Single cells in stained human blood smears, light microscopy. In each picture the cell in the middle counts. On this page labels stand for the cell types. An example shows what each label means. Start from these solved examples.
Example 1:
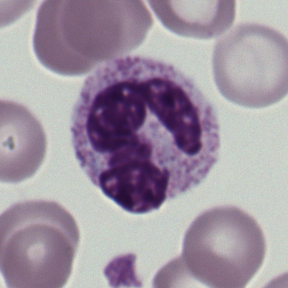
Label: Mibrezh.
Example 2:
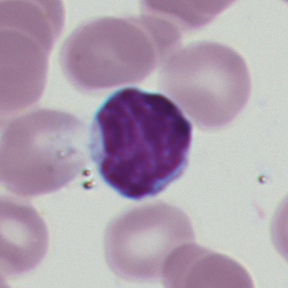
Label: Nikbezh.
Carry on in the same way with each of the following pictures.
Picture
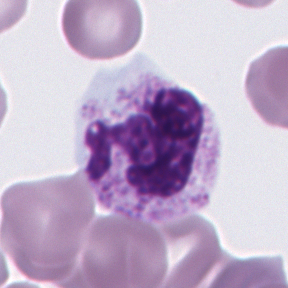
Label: Mibrezh.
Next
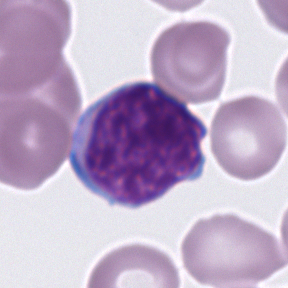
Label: Nikbezh.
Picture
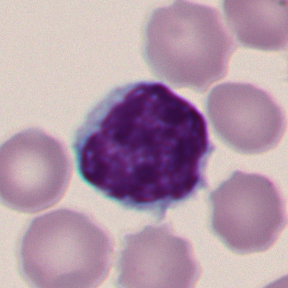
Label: Nikbezh.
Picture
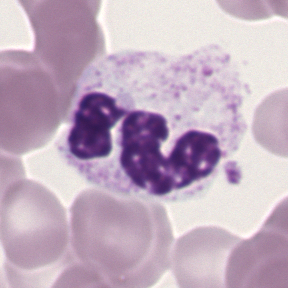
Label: Mibrezh.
